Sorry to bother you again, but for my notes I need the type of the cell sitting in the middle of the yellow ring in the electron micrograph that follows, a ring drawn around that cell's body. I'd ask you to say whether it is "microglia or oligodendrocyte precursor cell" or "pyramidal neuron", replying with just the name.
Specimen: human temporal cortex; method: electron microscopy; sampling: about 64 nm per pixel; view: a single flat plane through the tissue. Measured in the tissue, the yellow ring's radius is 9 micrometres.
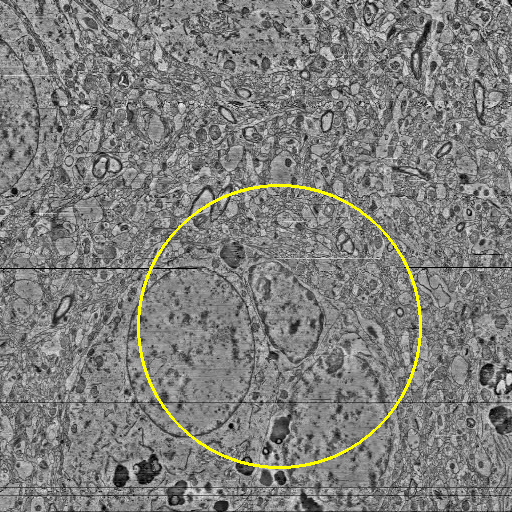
microglia or oligodendrocyte precursor cell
